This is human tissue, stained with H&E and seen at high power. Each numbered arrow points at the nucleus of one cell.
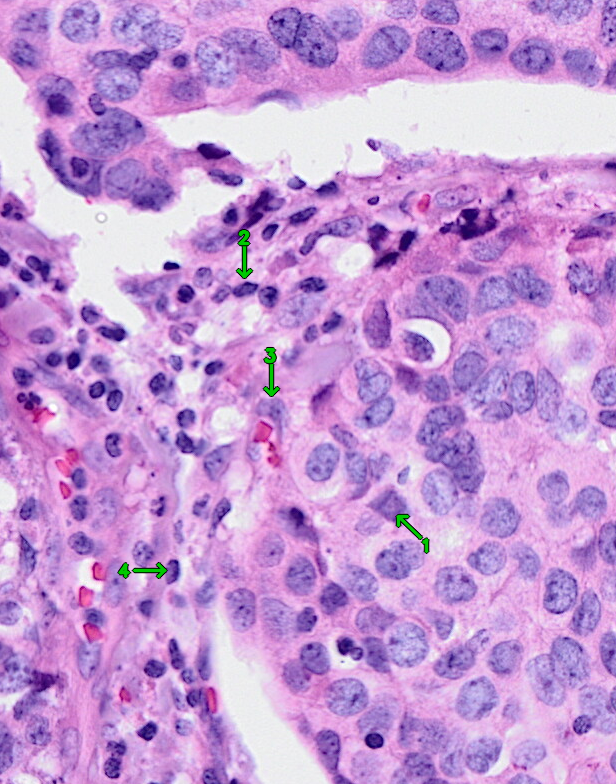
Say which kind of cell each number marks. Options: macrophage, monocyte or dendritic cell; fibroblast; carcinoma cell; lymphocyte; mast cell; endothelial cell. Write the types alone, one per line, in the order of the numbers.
carcinoma cell
lymphocyte
endothelial cell
lymphocyte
